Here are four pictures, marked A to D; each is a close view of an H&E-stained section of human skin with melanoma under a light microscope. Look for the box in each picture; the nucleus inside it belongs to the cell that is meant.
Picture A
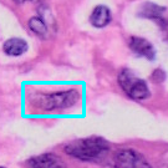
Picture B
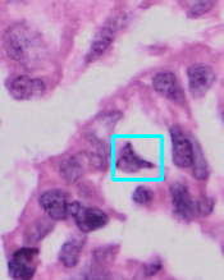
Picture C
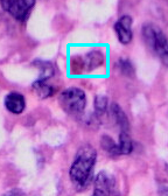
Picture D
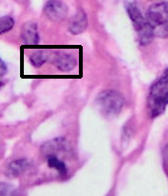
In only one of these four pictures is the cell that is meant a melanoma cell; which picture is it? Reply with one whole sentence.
Picture B is the one that shows the melanoma cell.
